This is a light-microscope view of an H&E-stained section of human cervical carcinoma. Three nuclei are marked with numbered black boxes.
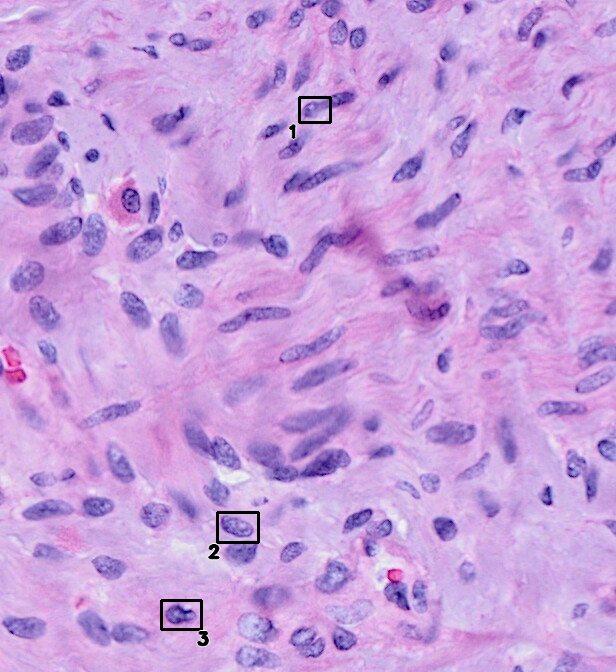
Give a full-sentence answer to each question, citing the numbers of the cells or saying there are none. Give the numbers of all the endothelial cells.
Among the cells marked with numbers, the only one that is an endothelial cell is number 3.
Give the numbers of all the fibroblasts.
Only the cell numbered 2 qualifies as a fibroblast among the marked cells.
